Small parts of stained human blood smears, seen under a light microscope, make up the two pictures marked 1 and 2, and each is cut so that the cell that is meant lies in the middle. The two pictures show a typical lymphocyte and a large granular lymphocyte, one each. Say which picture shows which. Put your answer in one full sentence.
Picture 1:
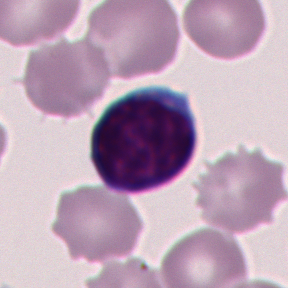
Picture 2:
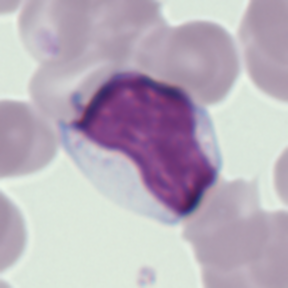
It is picture 1 that shows a typical lymphocyte, and picture 2 that shows a large granular lymphocyte.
